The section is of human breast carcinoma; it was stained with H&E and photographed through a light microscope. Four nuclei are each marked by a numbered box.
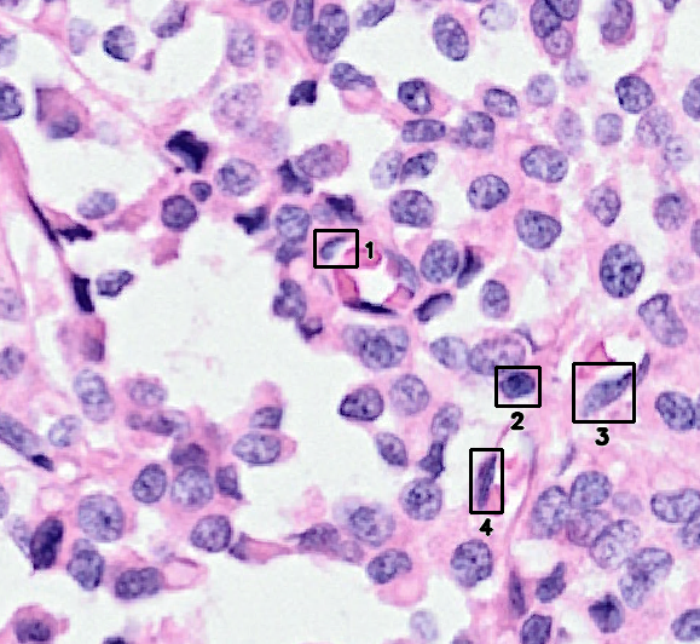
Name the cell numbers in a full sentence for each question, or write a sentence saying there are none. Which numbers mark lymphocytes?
Only cell 2 is a lymphocyte; none of the other numbered cells is.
